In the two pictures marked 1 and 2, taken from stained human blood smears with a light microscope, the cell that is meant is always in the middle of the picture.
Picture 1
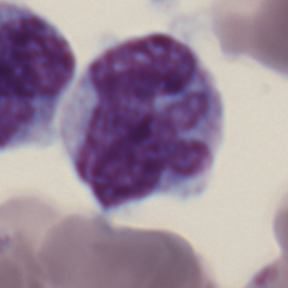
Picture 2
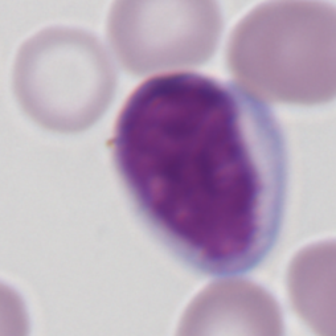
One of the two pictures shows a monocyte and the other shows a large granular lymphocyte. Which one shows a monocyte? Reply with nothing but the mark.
1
